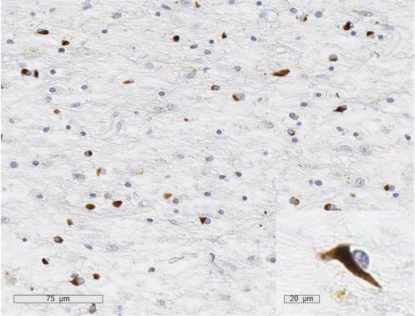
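This is white matter, pale and finely fibrous, with many small round blue nuclei of glial cells scattered through it. Many brown-stained bodies lie among them. Each is small and dense and sits beside or against a nucleus. In the inset, one brown body curves around the edge of a round pale nucleus, with a tapering flame-like or sickle-like outline.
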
